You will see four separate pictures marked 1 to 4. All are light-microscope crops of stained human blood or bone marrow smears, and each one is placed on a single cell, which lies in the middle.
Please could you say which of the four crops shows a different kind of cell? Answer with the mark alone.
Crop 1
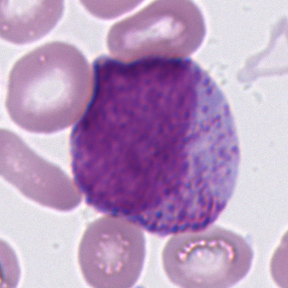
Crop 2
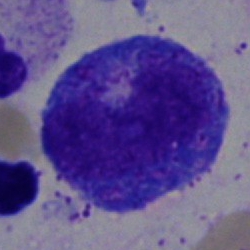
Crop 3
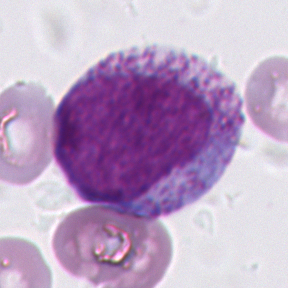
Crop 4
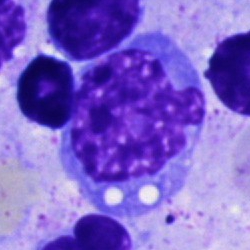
4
